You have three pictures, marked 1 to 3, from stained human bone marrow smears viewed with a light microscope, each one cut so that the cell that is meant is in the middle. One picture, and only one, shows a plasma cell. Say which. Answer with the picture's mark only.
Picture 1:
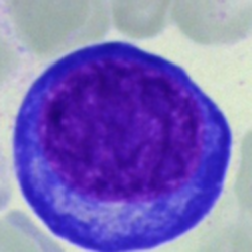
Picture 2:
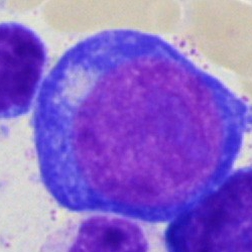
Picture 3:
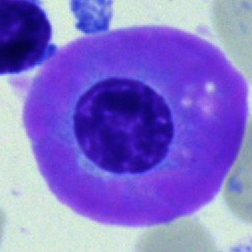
3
